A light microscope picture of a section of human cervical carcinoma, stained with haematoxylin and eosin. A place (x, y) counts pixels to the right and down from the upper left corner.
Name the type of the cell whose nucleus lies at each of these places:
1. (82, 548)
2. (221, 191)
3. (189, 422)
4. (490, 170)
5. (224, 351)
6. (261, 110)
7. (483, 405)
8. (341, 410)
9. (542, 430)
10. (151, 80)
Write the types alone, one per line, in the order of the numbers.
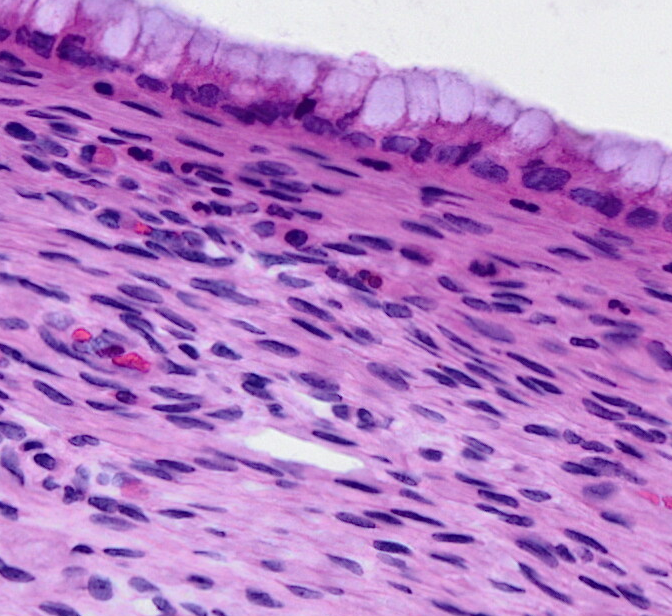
fibroblast
lymphocyte
fibroblast
secretory epithelial cell
fibroblast
secretory epithelial cell
fibroblast
lymphocyte
fibroblast
secretory epithelial cell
